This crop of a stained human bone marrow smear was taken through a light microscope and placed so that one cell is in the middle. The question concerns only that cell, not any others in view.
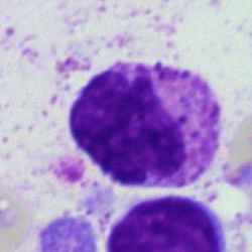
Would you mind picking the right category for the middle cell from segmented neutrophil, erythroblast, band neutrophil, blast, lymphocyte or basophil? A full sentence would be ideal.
The cell of interest, located centrally, is a basophil.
